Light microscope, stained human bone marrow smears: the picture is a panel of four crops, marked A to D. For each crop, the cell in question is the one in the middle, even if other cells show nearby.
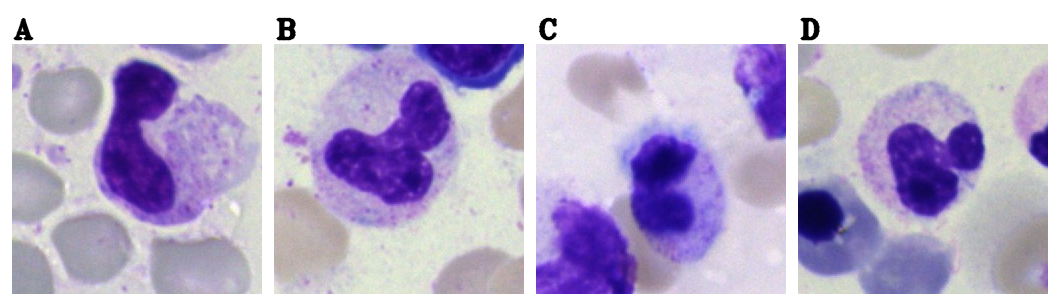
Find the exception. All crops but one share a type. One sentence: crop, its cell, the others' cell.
Crop D is the sole crop with a band neutrophil; the others all have segmented neutrophils.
